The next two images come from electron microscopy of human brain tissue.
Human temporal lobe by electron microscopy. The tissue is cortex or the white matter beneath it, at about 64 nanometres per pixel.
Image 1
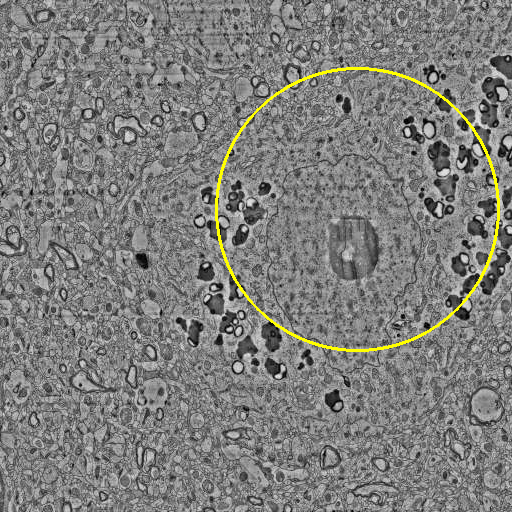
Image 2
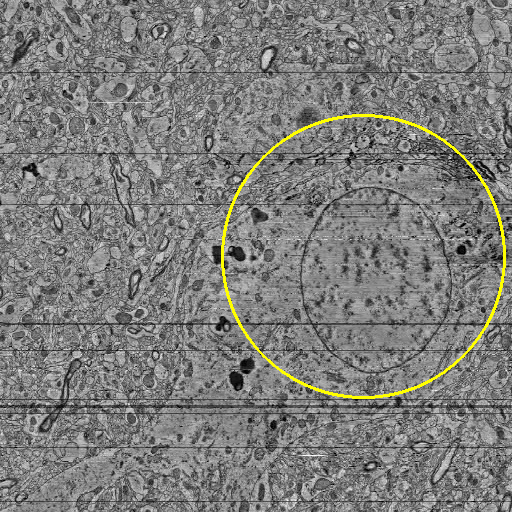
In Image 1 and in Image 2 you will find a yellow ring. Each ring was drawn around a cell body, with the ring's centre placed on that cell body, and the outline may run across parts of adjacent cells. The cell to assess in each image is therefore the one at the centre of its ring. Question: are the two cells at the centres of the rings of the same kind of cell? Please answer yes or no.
yes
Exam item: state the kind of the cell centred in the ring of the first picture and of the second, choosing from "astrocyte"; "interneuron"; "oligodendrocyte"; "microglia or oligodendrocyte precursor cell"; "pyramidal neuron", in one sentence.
Each of the two pictures has a pyramidal neuron at the ring centre.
